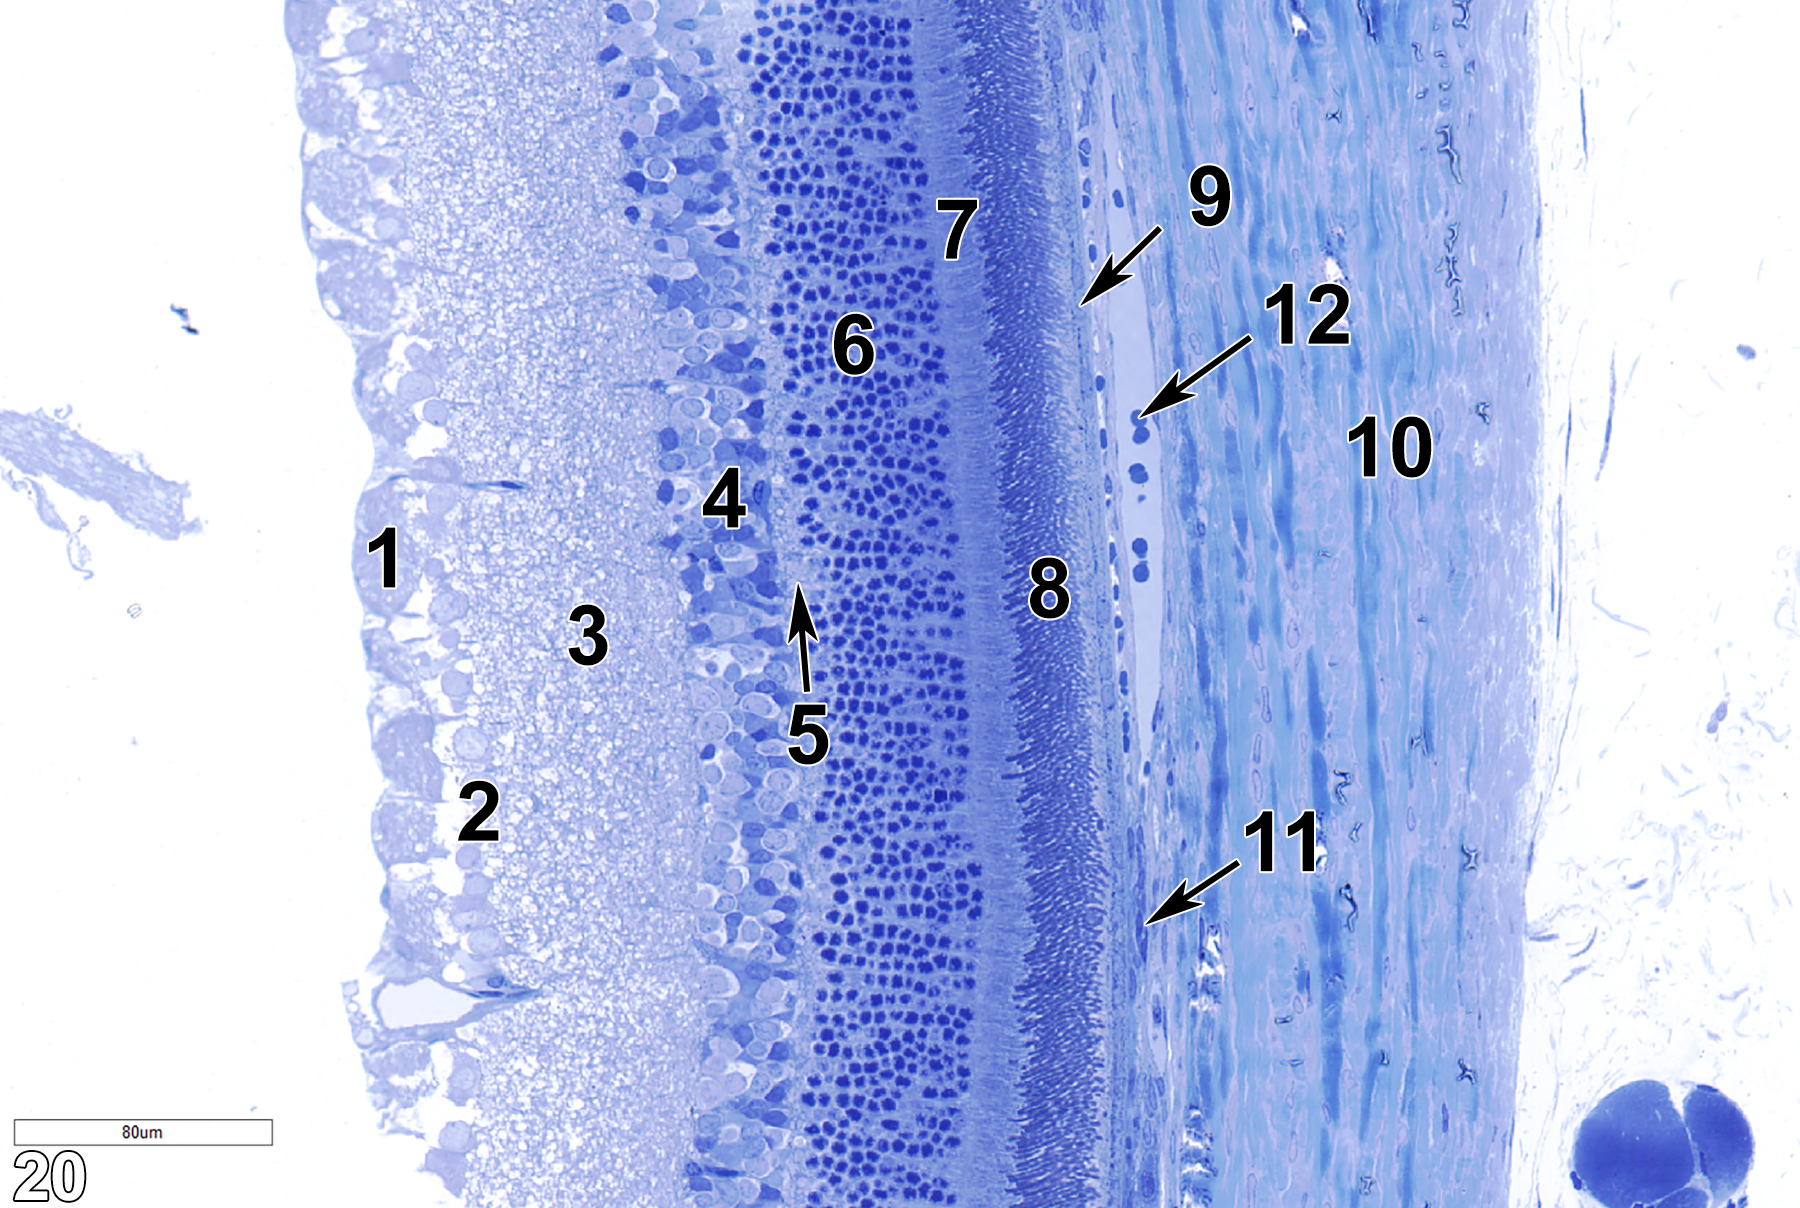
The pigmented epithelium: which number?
The pigmented epithelium: 9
